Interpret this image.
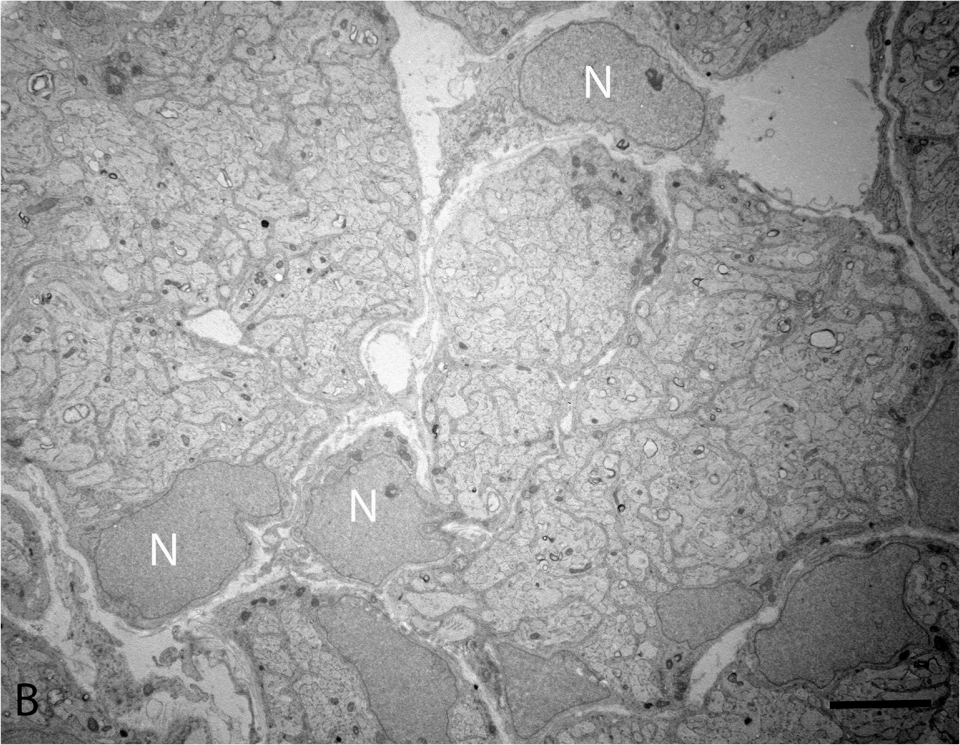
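A nerve cut across, where masses of small pale axon profiles are gathered into separate bundles, partitioned by thin cell processes and narrow clear spaces. Large oval to irregular nuclei sit at the borders of these bundles; their chromatin is pale and evenly fine, with no dark clumps along the nuclear envelope, the look of highly active nuclei. Here the nerve fibres have already been divided into fascicles. Wider empty spaces lie between some of the compartments, and a few axon profiles contain small dark bodies or vesicles.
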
